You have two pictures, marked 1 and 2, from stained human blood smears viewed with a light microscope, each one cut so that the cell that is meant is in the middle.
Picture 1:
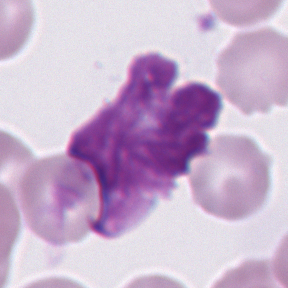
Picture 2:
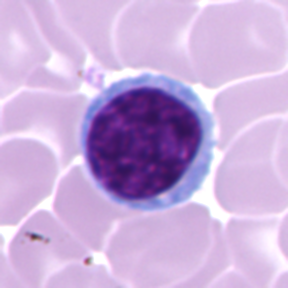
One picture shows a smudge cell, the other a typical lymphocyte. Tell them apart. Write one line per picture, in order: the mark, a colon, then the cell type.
1: smudge cell
2: typical lymphocyte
